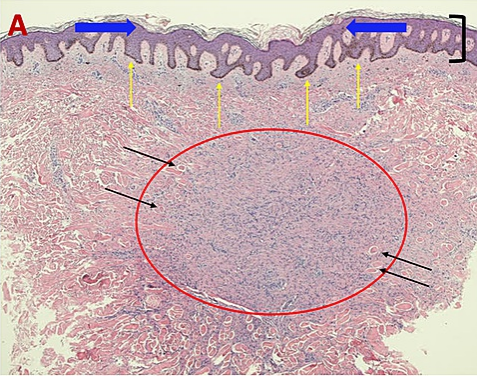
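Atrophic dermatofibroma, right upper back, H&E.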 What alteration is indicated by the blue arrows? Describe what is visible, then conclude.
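Central depression. Between the two blue arrows the skin surface dips slightly below the level at either side.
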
